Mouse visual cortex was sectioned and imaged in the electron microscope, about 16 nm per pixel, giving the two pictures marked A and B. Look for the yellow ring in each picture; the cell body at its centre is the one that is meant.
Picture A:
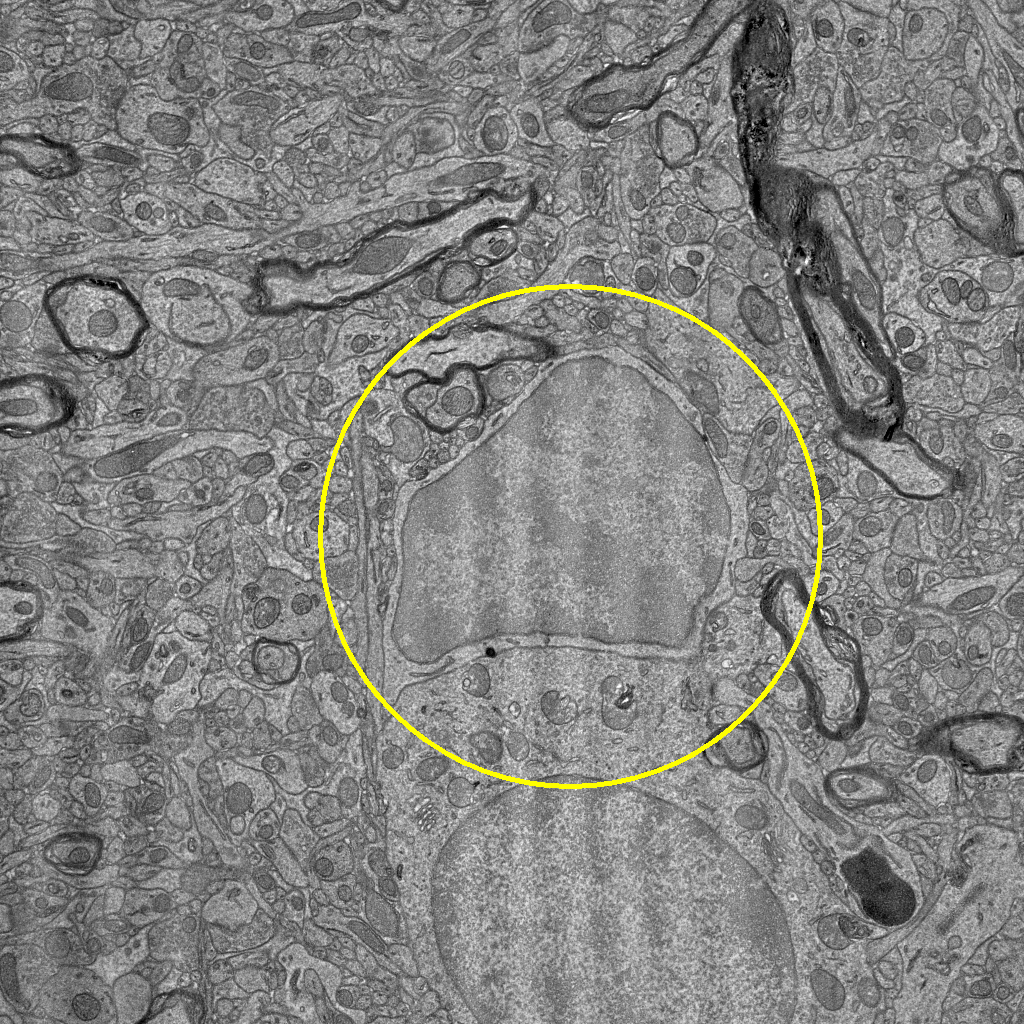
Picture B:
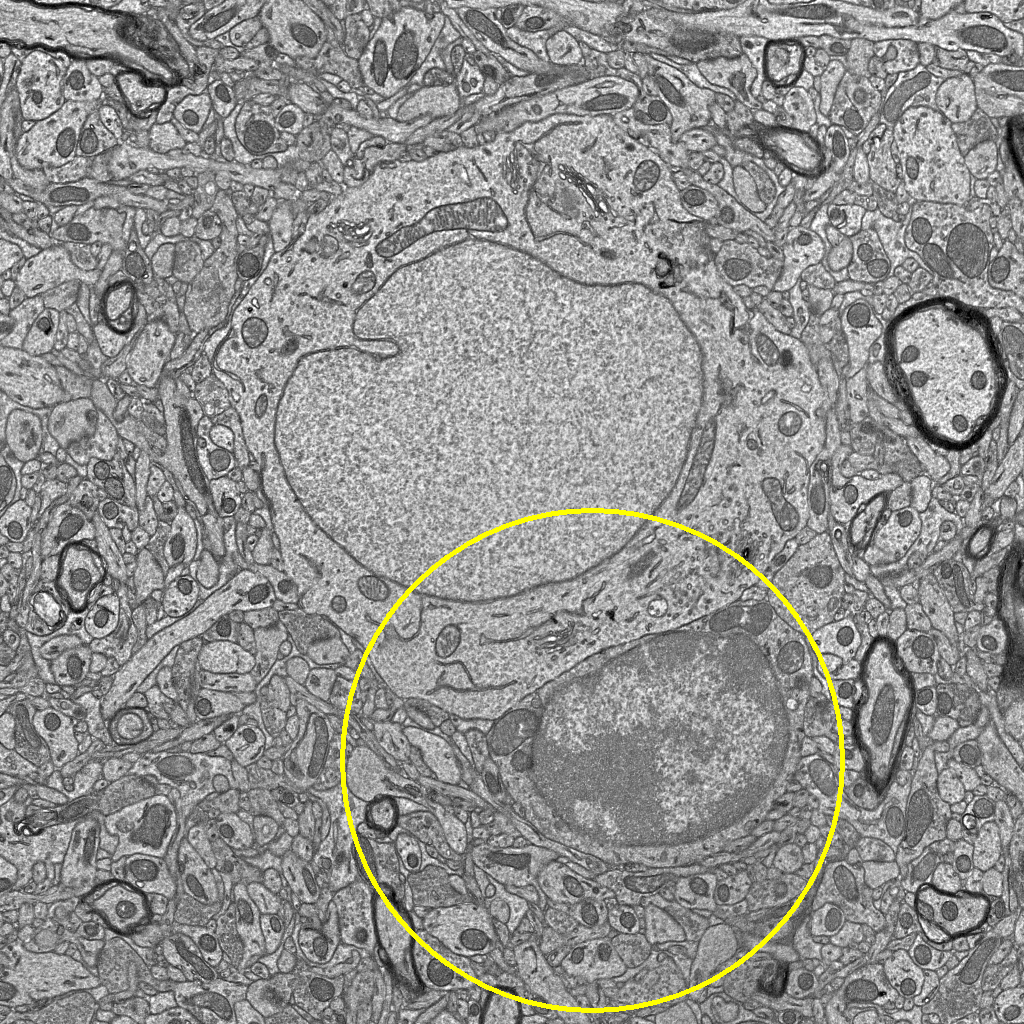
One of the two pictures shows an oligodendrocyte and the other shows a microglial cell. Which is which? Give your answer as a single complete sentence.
Picture A is of a microglial cell, and picture B is of an oligodendrocyte.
